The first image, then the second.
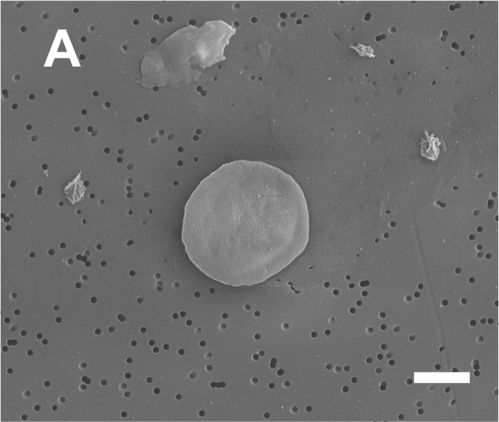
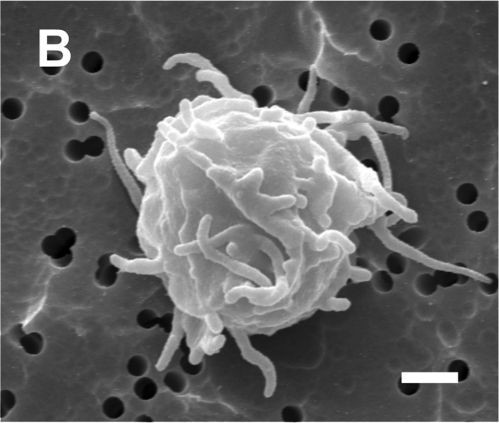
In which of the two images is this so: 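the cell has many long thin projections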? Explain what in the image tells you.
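The second image. Second image: the cell bears many long, curling finger-like projections. First image: the cell is a smooth flat disc with no projections.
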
